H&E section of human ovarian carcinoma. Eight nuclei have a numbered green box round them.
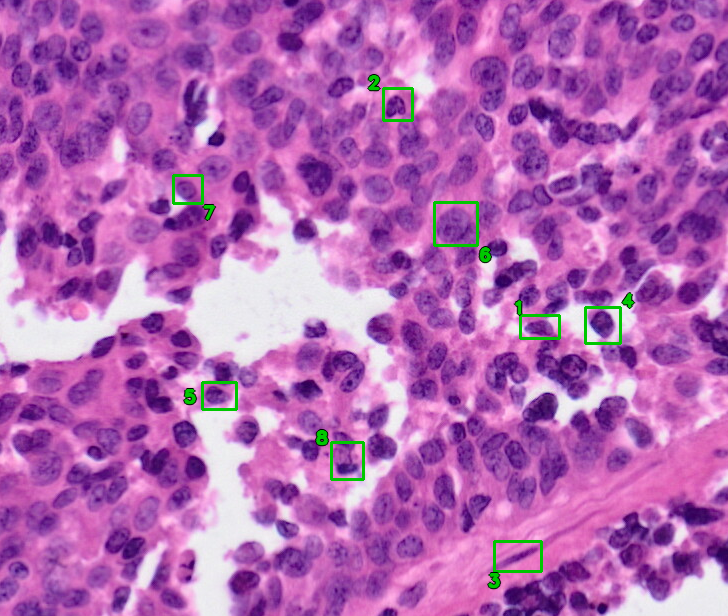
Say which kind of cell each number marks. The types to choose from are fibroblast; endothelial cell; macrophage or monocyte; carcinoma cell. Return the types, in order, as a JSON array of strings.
["macrophage or monocyte", "macrophage or monocyte", "fibroblast", "carcinoma cell", "macrophage or monocyte", "carcinoma cell", "carcinoma cell", "macrophage or monocyte"]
